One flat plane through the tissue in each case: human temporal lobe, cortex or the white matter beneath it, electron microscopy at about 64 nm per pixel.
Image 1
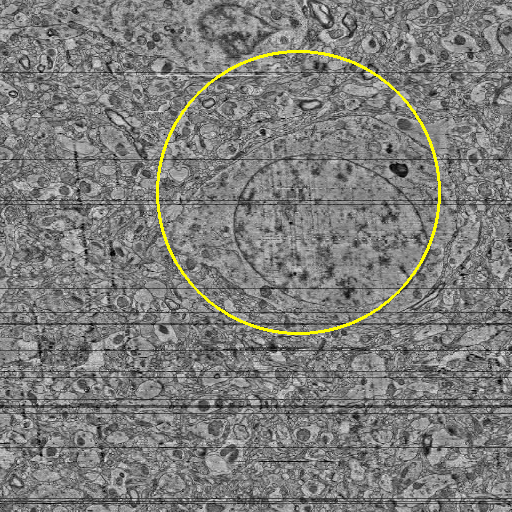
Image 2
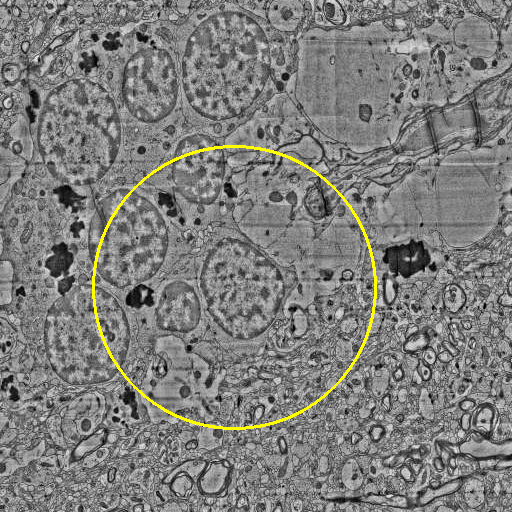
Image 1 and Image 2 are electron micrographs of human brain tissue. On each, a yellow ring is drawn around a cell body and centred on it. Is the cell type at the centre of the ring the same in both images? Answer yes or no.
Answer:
no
